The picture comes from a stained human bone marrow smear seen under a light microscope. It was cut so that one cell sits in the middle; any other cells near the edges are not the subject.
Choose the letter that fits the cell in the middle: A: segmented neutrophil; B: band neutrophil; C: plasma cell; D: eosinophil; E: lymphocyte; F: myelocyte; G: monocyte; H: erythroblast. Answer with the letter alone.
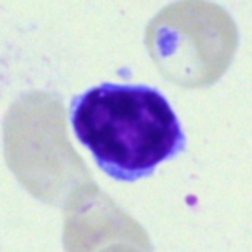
E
